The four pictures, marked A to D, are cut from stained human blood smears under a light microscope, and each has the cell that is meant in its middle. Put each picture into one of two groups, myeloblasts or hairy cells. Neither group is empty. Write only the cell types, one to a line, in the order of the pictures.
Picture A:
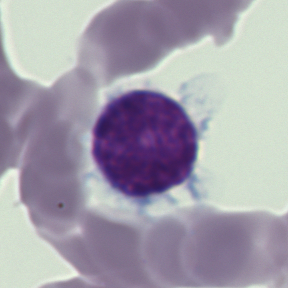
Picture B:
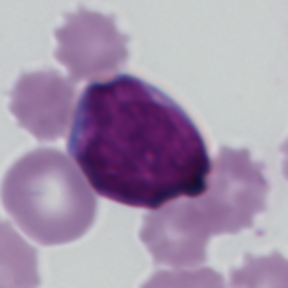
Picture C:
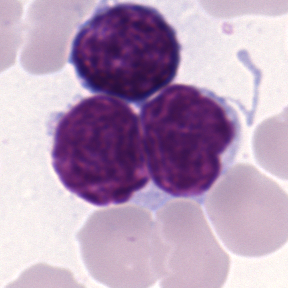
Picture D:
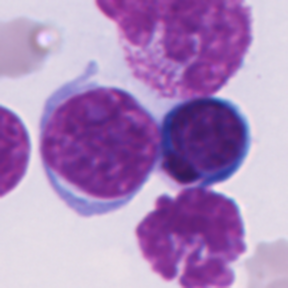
hairy cell
myeloblast
myeloblast
myeloblast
